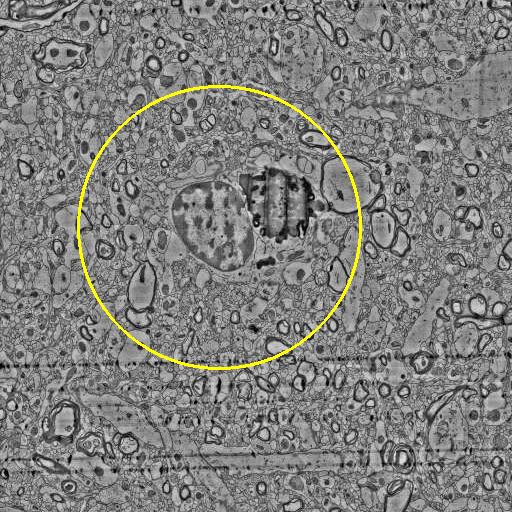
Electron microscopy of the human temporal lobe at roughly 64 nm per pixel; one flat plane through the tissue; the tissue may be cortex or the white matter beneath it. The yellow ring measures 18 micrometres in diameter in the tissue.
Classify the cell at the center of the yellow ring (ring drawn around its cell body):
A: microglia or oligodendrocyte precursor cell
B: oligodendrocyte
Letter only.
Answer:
A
